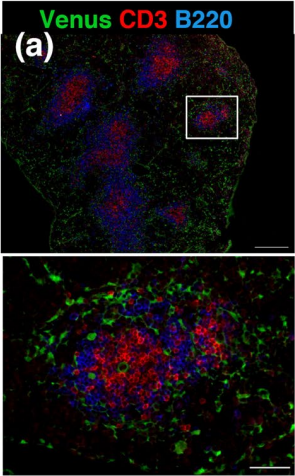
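Spleen at low power shows several lymphoid follicles made of red and blue lymphocytes among a green-speckled surrounding tissue. At higher magnification the follicle is a dense cluster of small round red and blue lymphocytes with a small central vessel ringed in green, surrounded by a network of green stromal cells with branching processes.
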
